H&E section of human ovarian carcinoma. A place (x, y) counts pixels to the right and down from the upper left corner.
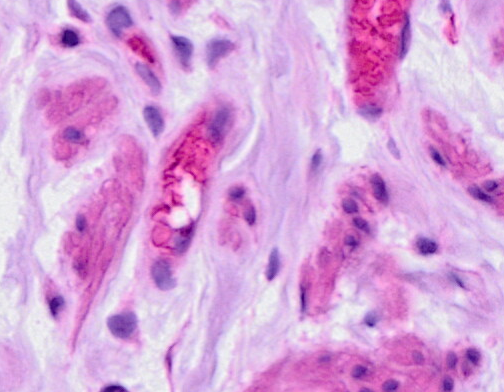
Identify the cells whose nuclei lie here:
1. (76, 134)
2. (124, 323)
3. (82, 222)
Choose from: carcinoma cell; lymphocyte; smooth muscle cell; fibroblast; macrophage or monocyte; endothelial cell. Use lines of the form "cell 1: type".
cell 1: smooth muscle cell
cell 2: fibroblast
cell 3: smooth muscle cell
